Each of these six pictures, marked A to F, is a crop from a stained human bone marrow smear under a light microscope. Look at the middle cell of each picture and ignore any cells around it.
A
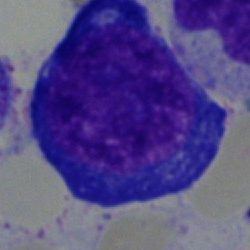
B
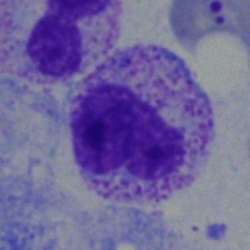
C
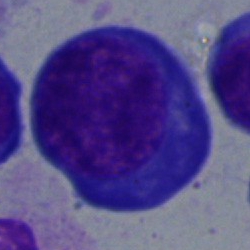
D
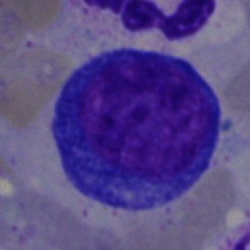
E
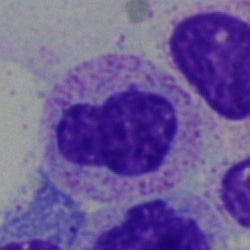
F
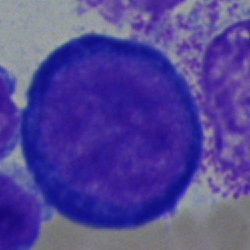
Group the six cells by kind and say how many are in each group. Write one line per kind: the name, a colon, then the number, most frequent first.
proerythroblast: 4
metamyelocyte: 2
